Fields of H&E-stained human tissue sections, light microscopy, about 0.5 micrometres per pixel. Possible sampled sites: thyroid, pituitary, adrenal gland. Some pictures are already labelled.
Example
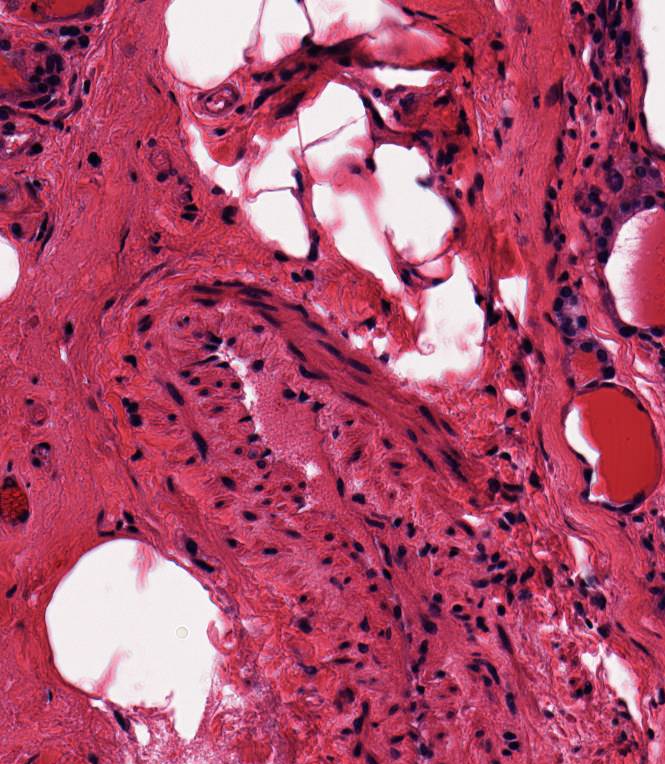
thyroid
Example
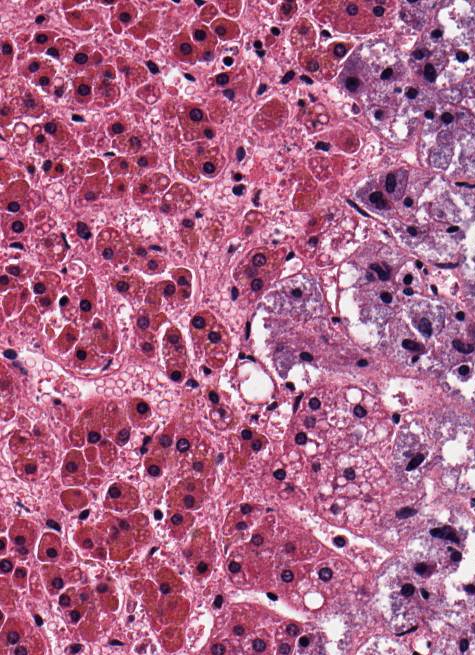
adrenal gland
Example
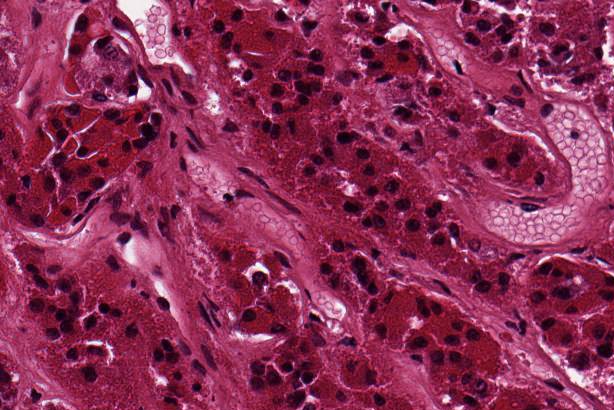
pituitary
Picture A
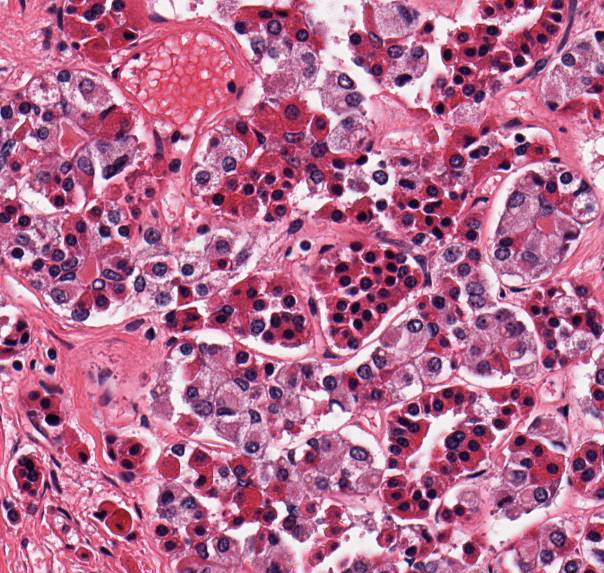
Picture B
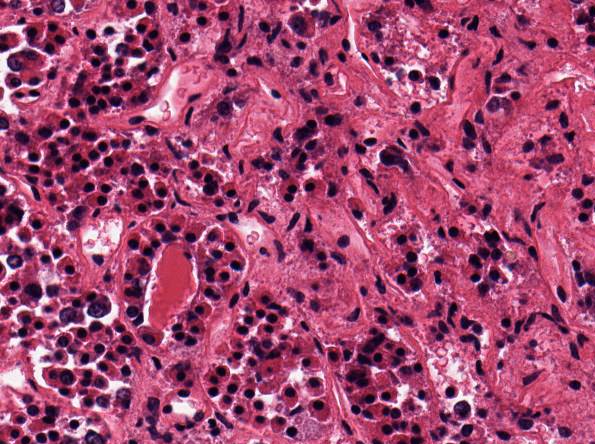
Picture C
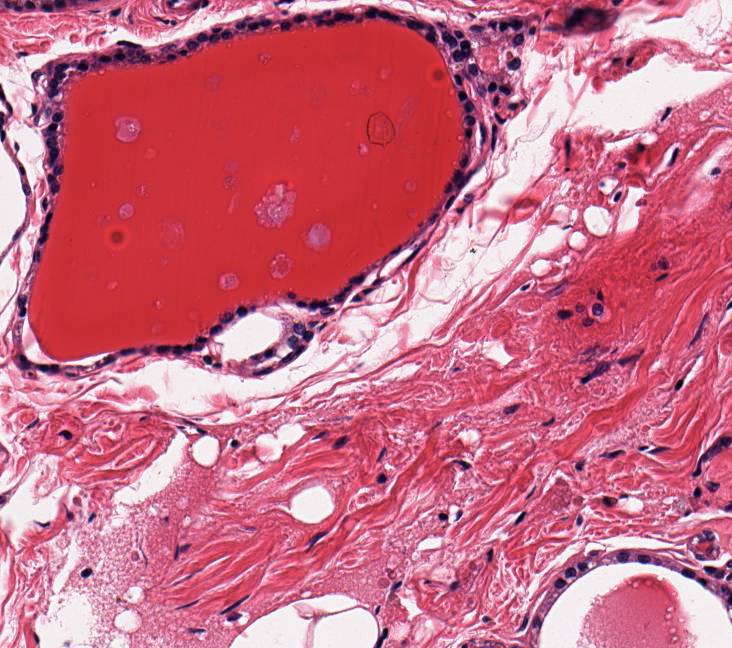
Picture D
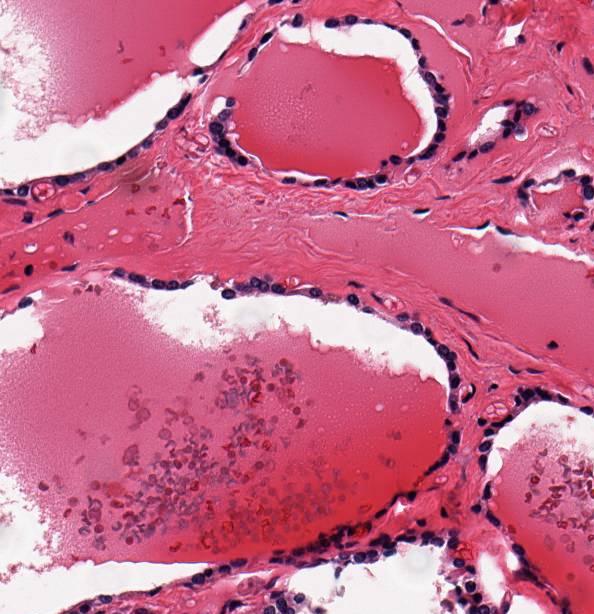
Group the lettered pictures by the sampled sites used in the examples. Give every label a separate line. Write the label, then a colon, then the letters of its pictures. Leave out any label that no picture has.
thyroid: C, D
pituitary: A, B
